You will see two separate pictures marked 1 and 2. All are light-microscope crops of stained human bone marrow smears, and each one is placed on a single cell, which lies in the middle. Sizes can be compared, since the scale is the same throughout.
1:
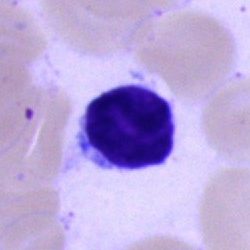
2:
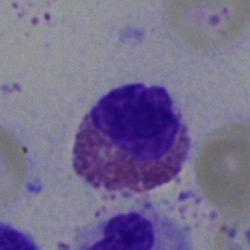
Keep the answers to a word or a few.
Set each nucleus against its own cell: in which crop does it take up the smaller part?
2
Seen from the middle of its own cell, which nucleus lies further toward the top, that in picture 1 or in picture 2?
2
